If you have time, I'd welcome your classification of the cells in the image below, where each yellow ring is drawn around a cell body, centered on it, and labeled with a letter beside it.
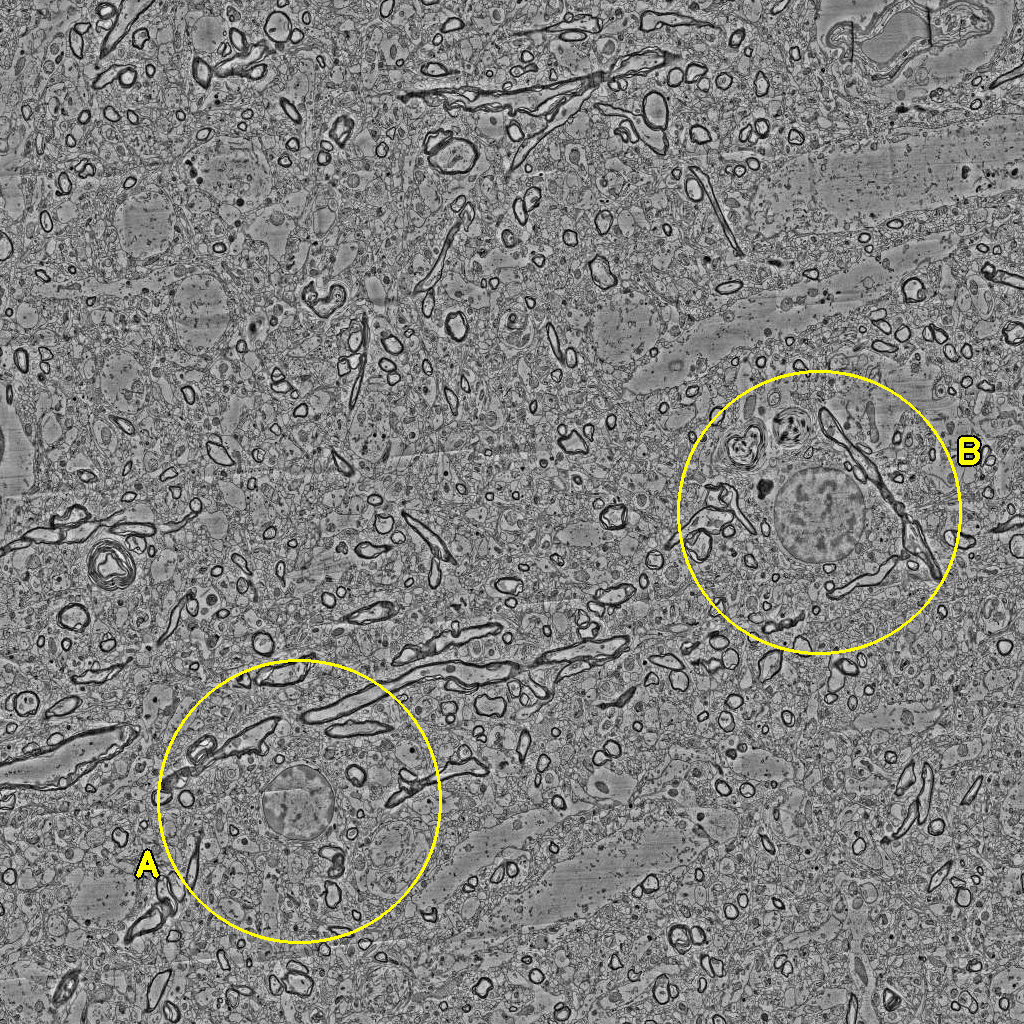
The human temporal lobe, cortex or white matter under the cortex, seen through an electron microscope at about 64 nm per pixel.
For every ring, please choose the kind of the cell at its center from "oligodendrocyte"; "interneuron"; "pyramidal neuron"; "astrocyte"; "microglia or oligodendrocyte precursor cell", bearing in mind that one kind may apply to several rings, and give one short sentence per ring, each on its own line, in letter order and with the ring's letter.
At the center of ring A is a microglial cell or oligodendrocyte precursor cell.
At the center of ring B is an oligodendrocyte.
